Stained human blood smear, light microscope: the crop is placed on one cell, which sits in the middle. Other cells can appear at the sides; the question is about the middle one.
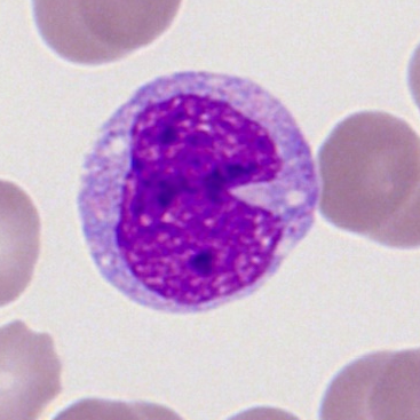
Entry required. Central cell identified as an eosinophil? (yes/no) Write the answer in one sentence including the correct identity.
No, calling it an eosinophil is wrong; the middle cell is a monocyte.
